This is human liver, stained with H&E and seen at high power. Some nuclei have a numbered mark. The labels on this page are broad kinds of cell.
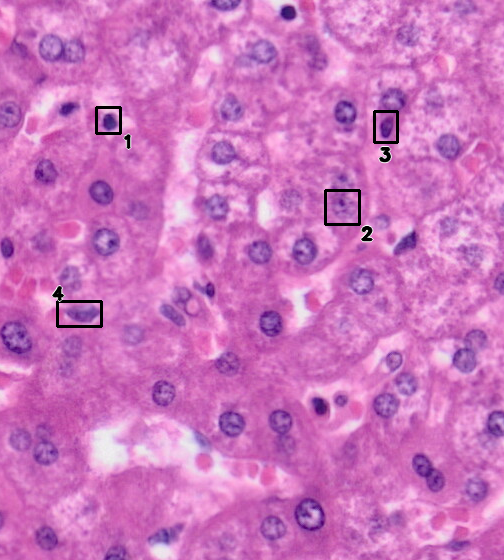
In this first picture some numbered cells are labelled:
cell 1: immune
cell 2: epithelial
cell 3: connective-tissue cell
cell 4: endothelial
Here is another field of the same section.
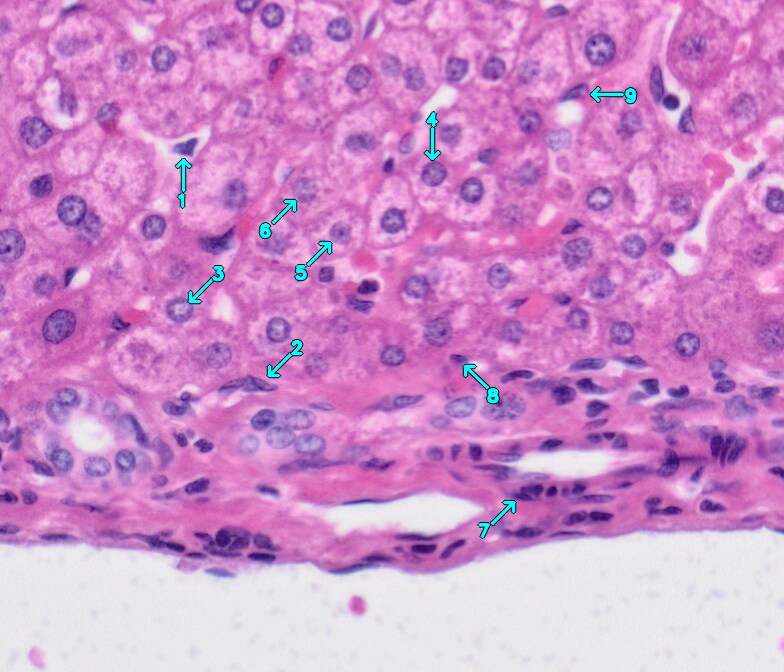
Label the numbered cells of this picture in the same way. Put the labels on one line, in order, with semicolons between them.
immune; connective-tissue cell; epithelial; epithelial; epithelial; epithelial; connective-tissue cell; connective-tissue cell; endothelial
